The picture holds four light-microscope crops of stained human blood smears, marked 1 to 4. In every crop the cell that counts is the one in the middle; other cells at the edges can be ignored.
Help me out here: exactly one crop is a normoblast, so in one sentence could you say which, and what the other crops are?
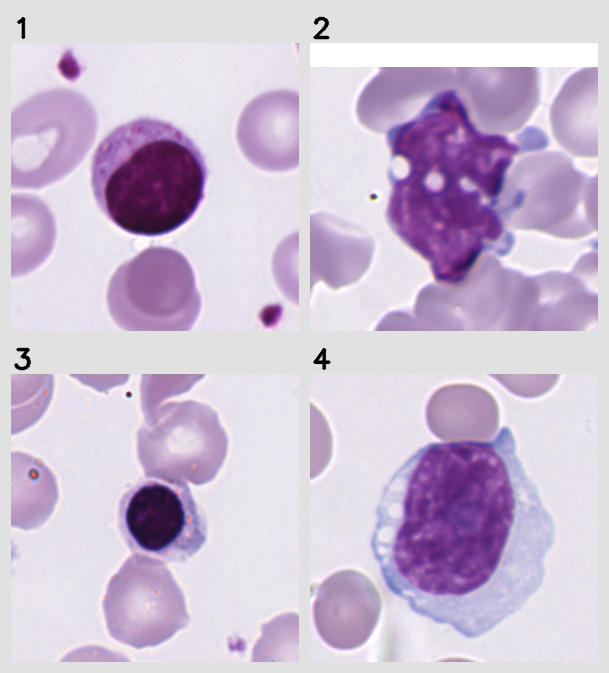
Crop 3 counts as a normoblast, while crop 1 is a large granular lymphocyte, crop 2 is a typical lymphocyte and crop 4 is a myeloblast.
